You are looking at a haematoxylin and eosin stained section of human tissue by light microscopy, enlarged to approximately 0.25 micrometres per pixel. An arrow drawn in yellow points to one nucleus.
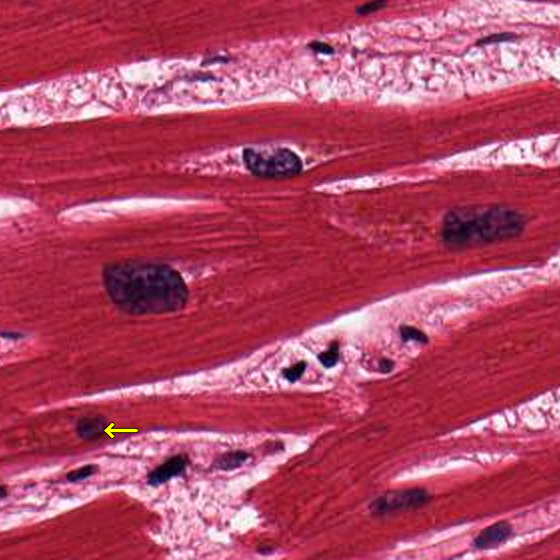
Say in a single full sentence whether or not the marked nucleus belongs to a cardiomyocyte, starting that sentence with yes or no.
Yes, belonging to a cardiomyocyte is the marked nucleus.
